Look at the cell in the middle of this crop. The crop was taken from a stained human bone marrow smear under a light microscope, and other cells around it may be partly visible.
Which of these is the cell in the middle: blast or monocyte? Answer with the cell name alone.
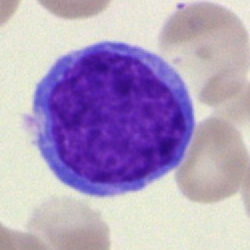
blast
